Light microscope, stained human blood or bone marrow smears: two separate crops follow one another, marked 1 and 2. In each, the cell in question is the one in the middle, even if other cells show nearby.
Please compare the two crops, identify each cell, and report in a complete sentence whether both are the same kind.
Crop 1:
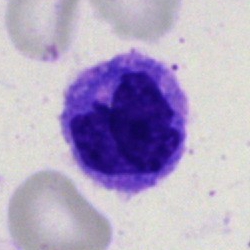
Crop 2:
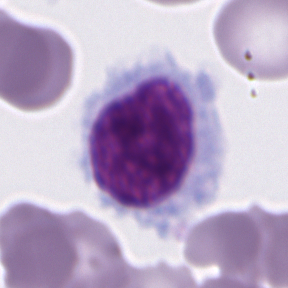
No, the cells are a monocyte in crop 1 and a hairy cell in crop 2.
